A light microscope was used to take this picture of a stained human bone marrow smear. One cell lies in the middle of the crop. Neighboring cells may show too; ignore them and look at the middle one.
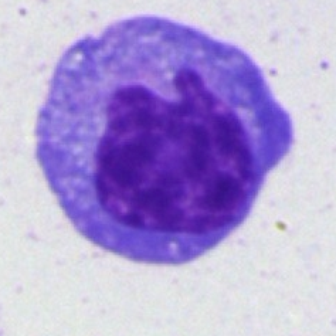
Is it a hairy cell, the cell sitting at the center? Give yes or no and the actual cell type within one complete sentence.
No, the cell sitting in the middle is a plasma cell, and it is not a hairy cell.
